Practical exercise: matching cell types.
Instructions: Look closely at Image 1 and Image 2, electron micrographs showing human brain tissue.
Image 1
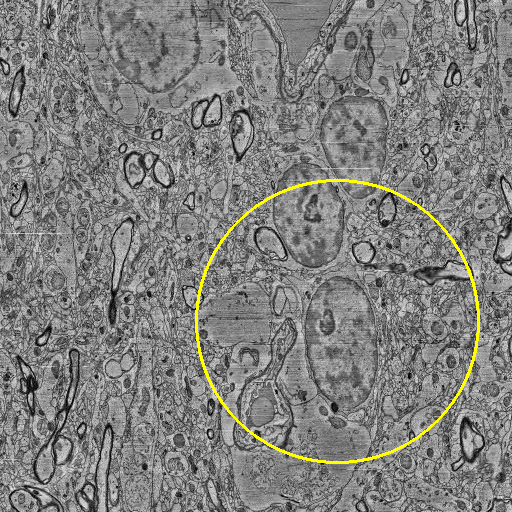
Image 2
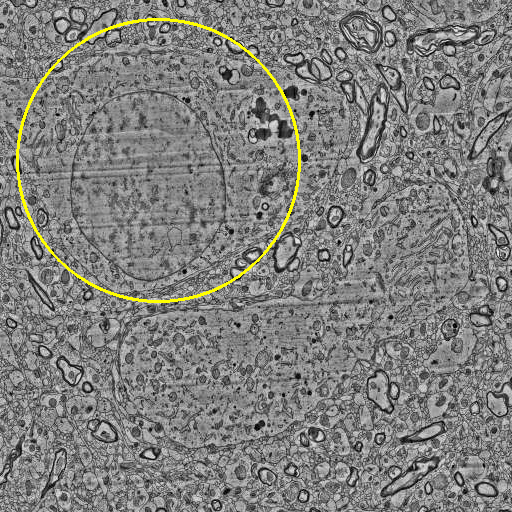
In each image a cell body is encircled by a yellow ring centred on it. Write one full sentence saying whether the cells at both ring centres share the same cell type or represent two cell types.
Across Image 1 and Image 2, the cells at the ring centres represent two cell types.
